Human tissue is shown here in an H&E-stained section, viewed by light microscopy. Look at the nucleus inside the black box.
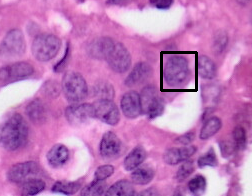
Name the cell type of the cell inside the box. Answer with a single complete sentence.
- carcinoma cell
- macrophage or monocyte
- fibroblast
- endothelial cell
In the tissue under study, the cell inside the box is a carcinoma cell.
